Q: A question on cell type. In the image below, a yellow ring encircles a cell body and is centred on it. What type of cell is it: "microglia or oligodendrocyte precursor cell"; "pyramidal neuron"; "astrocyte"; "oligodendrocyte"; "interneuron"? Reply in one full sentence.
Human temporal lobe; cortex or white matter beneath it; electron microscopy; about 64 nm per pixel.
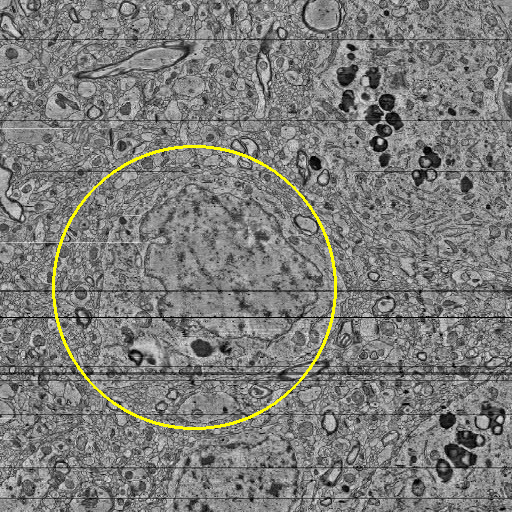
It is an interneuron whose cell body sits at the centre of the yellow ring in the image.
